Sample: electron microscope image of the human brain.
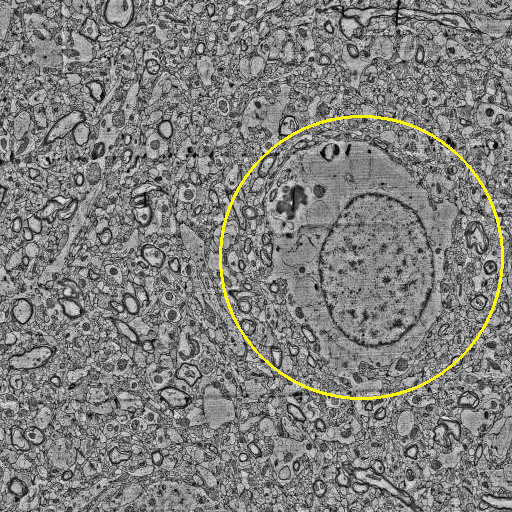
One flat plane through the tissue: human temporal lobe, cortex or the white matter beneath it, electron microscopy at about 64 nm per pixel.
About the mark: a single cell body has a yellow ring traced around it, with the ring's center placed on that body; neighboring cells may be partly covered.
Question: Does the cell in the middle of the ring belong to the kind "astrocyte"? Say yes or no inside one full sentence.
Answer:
Yes, the cell at the ring's center in this image belongs to that kind.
